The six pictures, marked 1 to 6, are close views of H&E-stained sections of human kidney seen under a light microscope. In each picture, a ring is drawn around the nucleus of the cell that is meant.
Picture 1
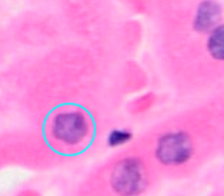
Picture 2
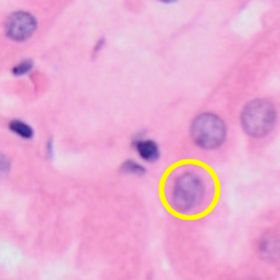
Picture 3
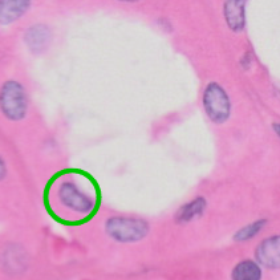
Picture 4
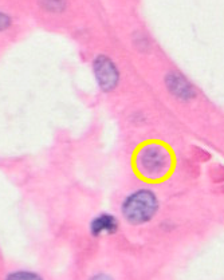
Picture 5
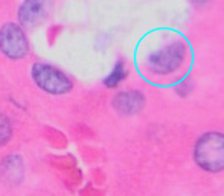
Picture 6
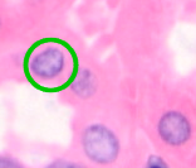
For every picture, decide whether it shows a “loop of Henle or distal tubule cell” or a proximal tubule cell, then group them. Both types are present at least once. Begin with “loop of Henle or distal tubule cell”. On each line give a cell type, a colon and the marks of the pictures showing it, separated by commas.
loop of Henle or distal tubule cell: 3, 4, 5, 6
proximal tubule cell: 1, 2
